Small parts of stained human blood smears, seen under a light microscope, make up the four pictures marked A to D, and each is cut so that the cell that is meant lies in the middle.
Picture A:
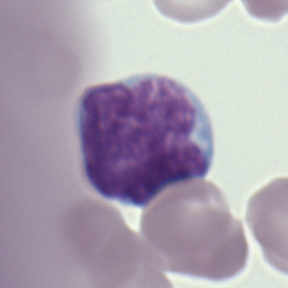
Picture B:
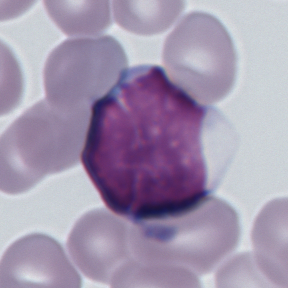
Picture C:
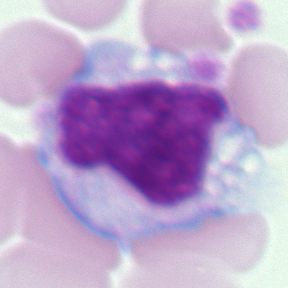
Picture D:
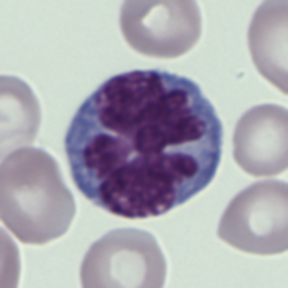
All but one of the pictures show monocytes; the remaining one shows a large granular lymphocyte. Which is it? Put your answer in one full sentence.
The cell in picture B is the large granular lymphocyte.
